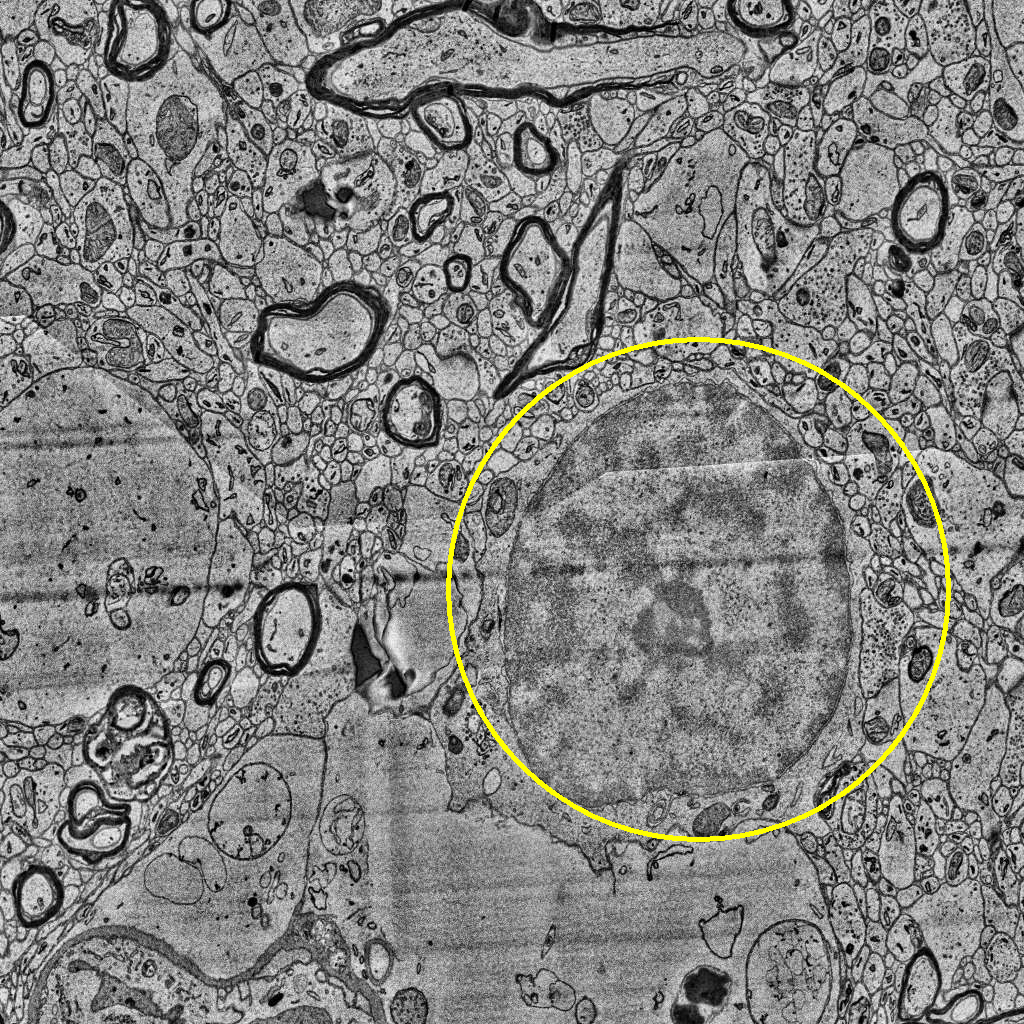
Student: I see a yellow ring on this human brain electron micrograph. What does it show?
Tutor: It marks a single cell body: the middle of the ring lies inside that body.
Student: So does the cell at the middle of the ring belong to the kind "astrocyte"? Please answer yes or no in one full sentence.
No, the cell at the middle of the ring is one of another kind.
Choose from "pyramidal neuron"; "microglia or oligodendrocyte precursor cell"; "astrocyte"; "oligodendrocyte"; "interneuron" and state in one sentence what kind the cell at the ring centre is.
Instead, the ring surrounds an oligodendrocyte in this picture.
